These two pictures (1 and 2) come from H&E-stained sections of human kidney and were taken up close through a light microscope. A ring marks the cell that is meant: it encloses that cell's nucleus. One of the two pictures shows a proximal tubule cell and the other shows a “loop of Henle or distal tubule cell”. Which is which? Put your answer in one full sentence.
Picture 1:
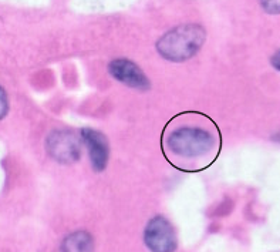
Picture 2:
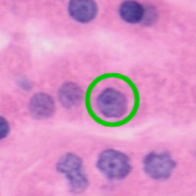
It is picture 1 that shows a “loop of Henle or distal tubule cell”, and picture 2 that shows a proximal tubule cell.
